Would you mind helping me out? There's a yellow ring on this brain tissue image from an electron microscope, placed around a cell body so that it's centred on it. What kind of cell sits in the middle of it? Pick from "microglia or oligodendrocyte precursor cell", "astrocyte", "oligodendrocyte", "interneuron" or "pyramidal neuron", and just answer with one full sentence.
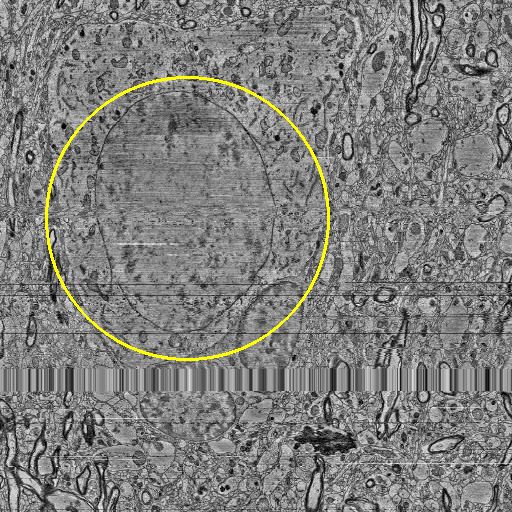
What sits in the middle of that yellow ring is a pyramidal neuron, from your choices.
